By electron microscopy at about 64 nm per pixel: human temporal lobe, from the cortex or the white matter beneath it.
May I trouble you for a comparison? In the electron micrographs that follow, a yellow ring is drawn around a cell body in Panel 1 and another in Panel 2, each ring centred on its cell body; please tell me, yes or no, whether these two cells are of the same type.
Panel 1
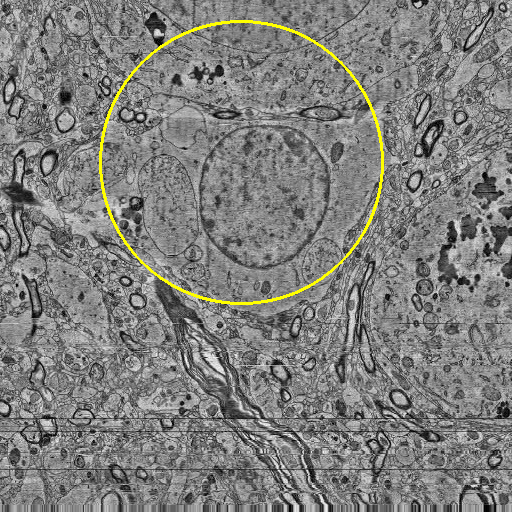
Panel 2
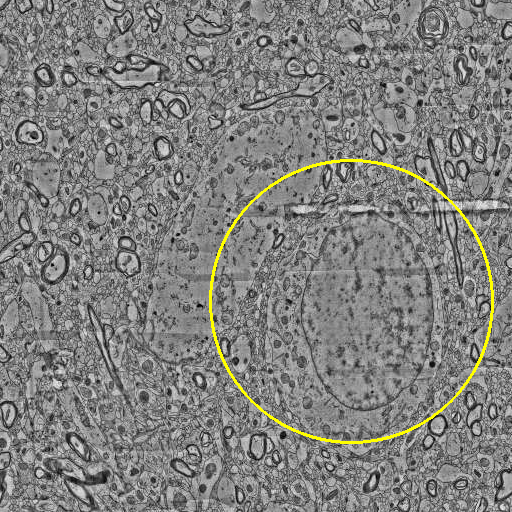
no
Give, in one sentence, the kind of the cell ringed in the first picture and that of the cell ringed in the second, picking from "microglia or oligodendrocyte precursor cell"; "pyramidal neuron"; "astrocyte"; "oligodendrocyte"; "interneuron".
For the first picture it is an astrocyte; for the second, an interneuron.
